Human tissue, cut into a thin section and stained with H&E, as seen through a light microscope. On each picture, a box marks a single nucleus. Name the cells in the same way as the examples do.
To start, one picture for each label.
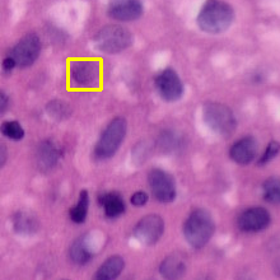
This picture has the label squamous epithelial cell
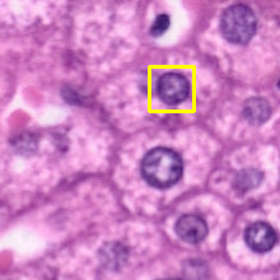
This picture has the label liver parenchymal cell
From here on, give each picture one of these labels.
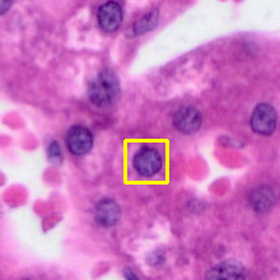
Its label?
liver parenchymal cell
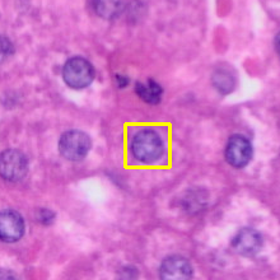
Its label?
liver parenchymal cell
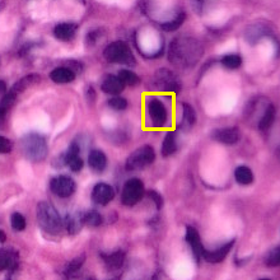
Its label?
squamous epithelial cell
